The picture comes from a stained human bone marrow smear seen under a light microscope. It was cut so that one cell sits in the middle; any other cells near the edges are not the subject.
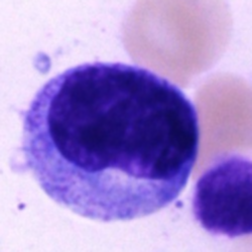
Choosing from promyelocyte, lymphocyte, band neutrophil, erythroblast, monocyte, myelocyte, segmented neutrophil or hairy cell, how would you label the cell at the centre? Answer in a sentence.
The central cell, amid any neighbouring cells, is a promyelocyte.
